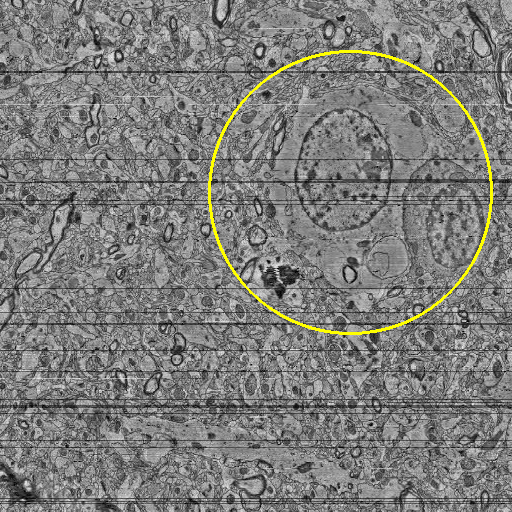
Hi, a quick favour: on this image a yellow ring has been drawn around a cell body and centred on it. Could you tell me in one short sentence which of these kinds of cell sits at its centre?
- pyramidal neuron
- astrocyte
The ring is centred on an astrocyte.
